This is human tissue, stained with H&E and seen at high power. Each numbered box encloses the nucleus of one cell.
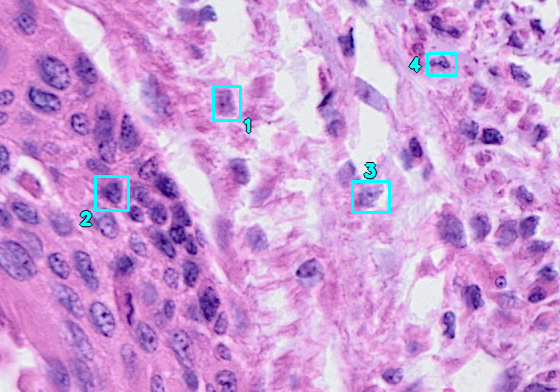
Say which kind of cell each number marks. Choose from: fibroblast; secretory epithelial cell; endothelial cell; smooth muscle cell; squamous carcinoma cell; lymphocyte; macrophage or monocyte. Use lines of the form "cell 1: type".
cell 1: fibroblast
cell 2: squamous carcinoma cell
cell 3: fibroblast
cell 4: fibroblast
